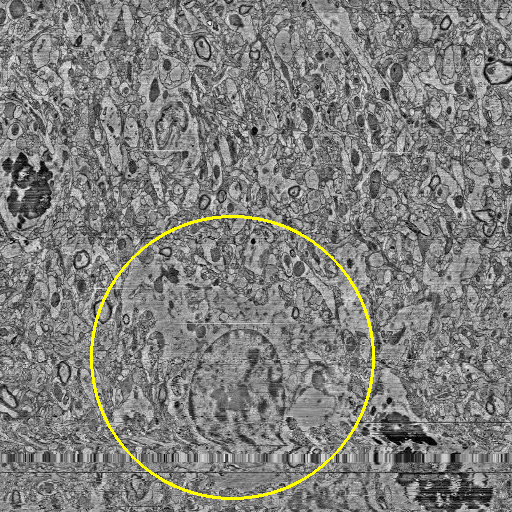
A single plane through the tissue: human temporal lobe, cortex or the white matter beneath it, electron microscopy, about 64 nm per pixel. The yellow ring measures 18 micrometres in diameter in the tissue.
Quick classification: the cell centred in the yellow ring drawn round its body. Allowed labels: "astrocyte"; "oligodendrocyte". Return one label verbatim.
astrocyte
